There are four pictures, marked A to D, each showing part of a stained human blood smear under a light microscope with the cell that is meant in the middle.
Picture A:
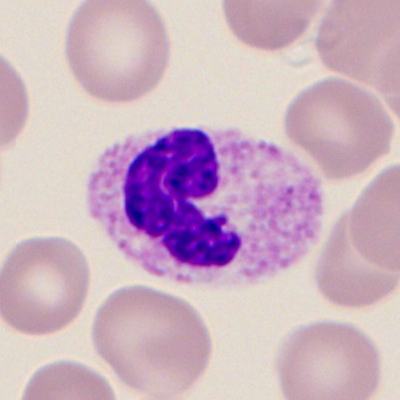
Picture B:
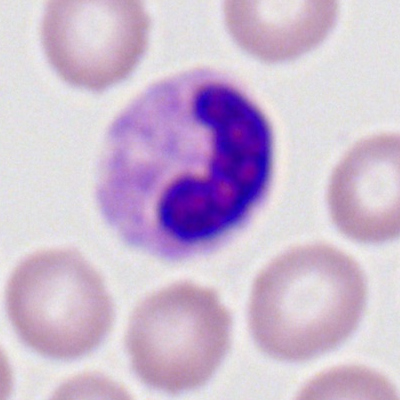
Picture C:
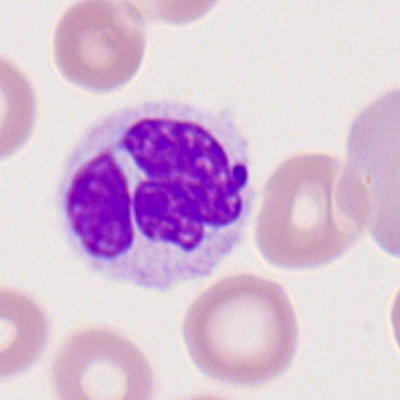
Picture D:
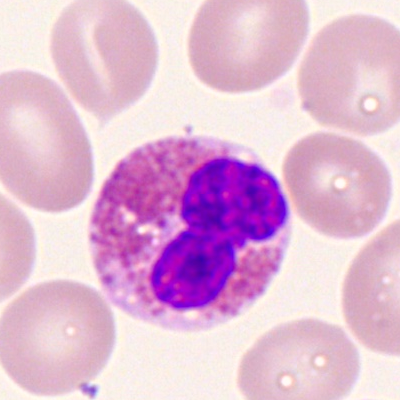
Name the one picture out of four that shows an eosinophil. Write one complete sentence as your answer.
The picture with the eosinophil is D.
